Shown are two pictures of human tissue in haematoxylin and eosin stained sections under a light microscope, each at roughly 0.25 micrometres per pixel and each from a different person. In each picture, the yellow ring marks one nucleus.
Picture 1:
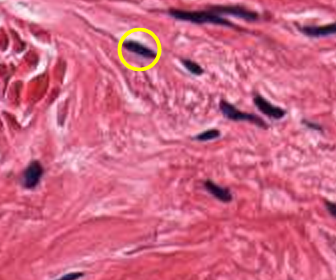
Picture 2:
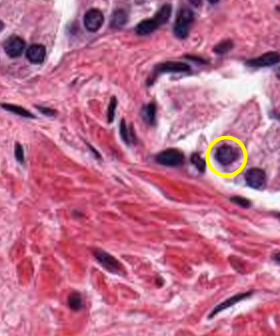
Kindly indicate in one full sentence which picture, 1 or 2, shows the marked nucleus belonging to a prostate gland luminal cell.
The marked nucleus in picture 2 comes from a prostate gland luminal cell.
